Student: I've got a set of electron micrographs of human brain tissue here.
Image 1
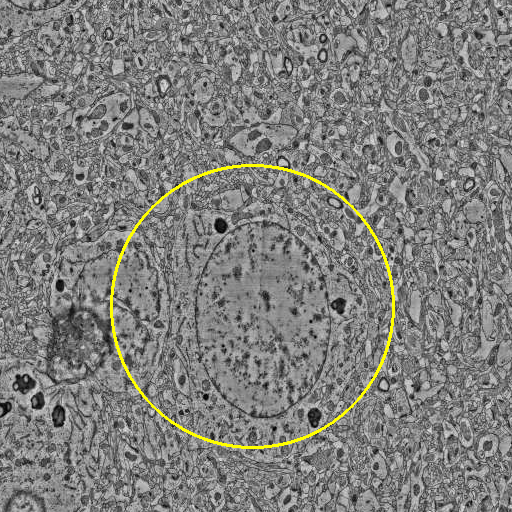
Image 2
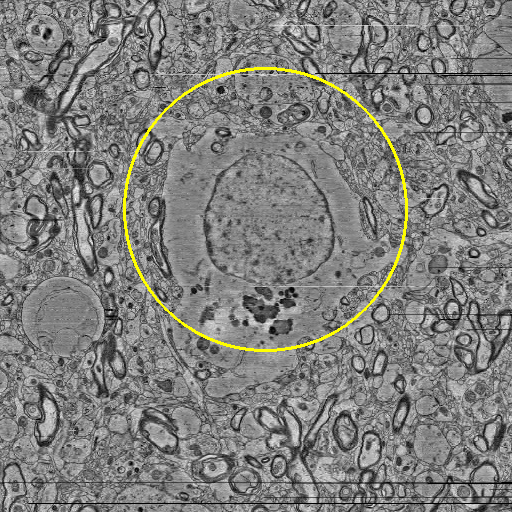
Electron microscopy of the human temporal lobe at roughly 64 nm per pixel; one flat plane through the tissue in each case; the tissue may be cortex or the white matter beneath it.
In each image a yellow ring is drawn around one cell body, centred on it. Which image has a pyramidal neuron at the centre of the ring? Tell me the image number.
1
